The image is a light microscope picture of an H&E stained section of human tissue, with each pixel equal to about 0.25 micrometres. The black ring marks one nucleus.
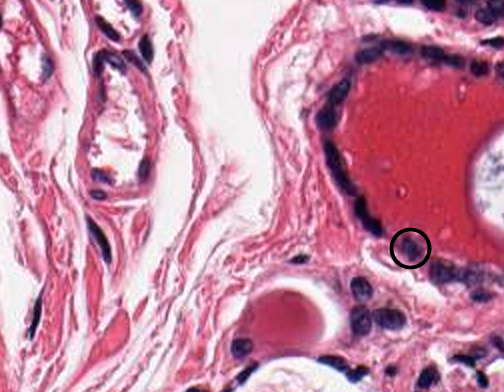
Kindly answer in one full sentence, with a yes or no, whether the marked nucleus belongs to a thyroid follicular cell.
Yes, within this field the marked nucleus is that of a thyroid follicular cell.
